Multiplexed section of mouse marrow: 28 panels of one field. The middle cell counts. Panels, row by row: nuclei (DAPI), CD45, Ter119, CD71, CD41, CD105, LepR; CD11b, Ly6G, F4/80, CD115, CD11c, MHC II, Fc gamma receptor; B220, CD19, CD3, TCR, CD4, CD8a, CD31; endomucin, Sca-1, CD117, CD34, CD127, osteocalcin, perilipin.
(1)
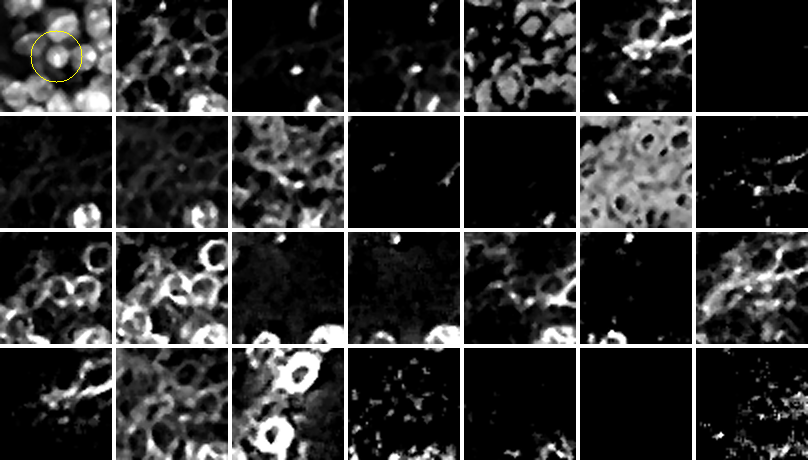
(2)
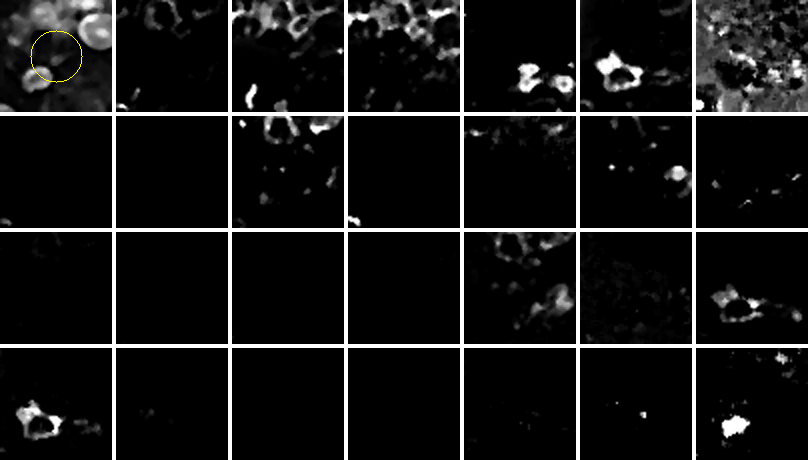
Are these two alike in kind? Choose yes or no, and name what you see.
No. First a megakaryocyte progenitor, second a LepR-positive perivascular cell.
